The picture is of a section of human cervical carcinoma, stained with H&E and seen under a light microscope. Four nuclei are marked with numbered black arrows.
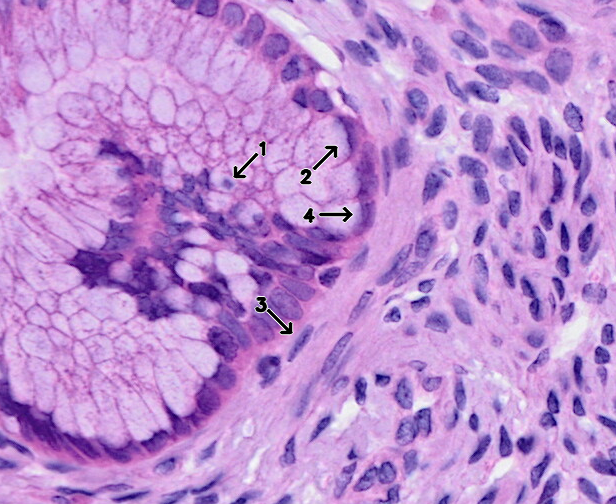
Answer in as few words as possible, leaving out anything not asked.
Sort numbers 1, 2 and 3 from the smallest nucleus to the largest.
1, 3, 2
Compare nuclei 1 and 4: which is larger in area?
4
